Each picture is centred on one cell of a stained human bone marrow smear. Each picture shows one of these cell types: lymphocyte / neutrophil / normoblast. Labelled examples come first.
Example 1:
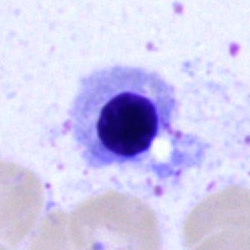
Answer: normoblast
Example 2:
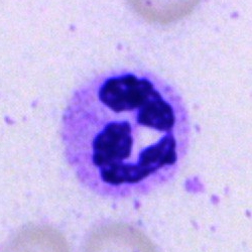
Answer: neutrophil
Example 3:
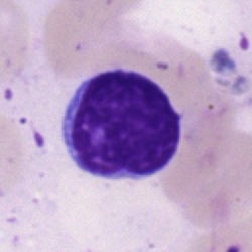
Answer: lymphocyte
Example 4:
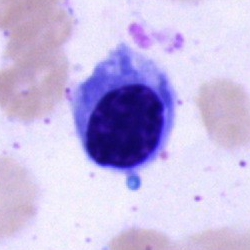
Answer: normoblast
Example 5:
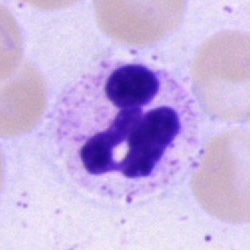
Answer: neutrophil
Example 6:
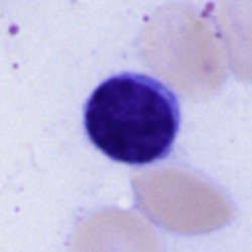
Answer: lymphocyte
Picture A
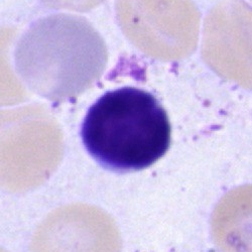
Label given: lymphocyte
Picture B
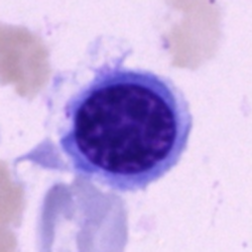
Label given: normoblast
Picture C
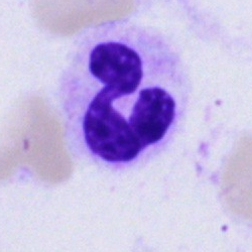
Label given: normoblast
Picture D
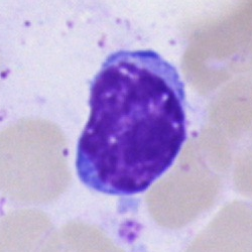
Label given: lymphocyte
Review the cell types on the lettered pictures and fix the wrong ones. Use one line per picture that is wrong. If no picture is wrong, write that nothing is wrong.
C is labelled normoblast; correct label: neutrophil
